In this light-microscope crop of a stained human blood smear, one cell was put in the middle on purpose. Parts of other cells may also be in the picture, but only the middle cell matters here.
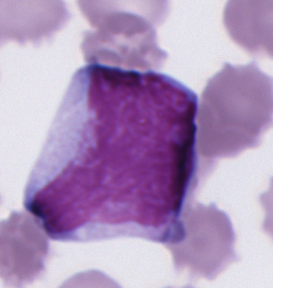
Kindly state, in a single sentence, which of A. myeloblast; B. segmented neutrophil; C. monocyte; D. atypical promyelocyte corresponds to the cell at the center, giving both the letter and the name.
The one cell at the centre is a myeloblast, as correctly stated in option A.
